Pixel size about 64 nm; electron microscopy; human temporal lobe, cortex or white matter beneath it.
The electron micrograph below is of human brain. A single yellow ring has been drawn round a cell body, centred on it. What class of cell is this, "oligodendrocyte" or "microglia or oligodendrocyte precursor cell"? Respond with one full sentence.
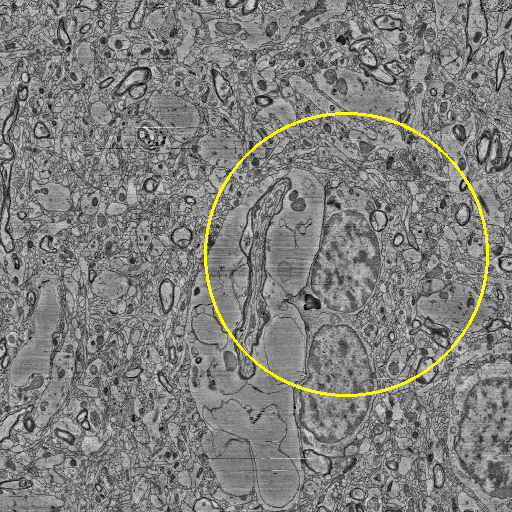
In the micrograph, the cell centred inside the yellow ring is an oligodendrocyte.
